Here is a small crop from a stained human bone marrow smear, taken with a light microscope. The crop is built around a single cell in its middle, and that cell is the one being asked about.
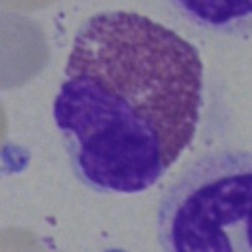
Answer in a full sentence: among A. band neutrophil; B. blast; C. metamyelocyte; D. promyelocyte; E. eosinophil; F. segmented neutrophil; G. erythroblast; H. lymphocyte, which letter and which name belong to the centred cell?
Since the cell in the centre is an eosinophil, the correct option is E.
